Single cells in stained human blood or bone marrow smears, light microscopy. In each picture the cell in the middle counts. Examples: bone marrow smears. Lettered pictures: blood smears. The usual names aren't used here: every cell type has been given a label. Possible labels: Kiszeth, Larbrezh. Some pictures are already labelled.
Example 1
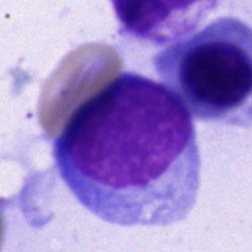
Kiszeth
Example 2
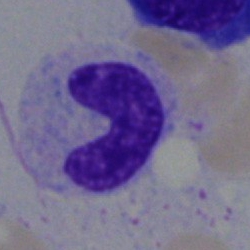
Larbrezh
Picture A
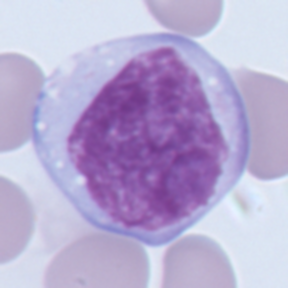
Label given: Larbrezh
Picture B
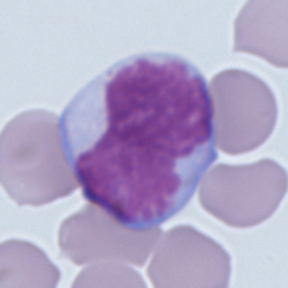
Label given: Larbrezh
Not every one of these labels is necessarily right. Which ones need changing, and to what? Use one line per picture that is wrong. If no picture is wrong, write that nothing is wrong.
A is labelled Larbrezh; correct label: Kiszeth
B is labelled Larbrezh; correct label: Kiszeth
